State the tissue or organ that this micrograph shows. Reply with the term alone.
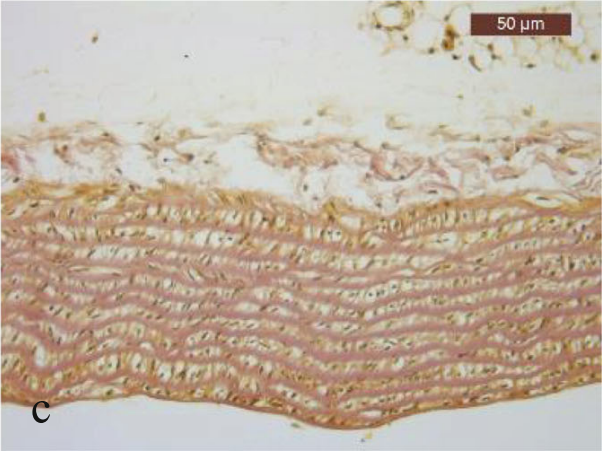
aorta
